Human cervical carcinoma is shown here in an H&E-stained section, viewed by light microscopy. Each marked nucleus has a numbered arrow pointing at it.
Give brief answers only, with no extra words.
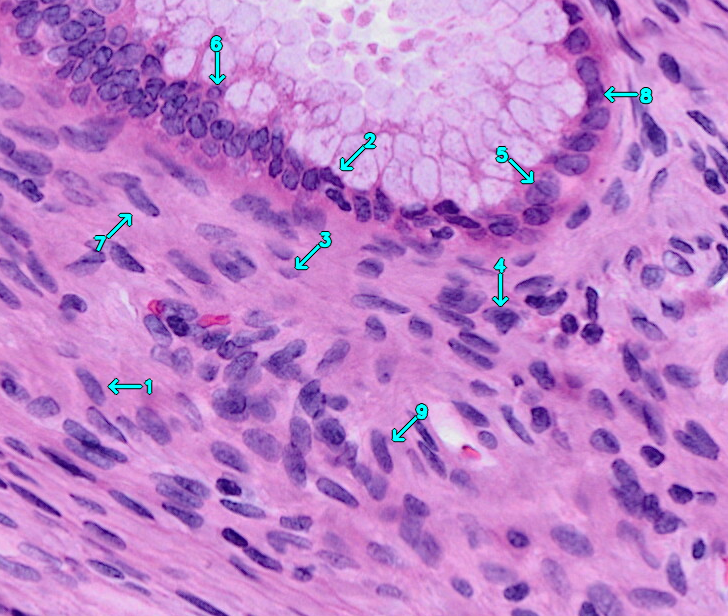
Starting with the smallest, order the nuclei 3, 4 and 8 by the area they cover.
3, 8, 4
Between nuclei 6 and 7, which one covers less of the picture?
6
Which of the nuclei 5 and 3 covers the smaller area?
3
